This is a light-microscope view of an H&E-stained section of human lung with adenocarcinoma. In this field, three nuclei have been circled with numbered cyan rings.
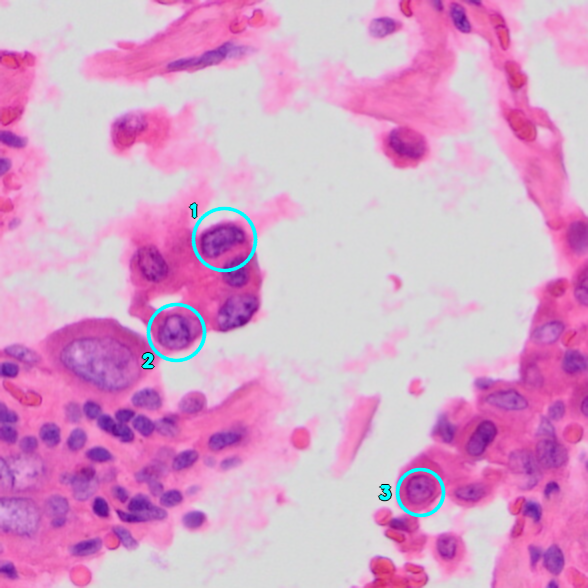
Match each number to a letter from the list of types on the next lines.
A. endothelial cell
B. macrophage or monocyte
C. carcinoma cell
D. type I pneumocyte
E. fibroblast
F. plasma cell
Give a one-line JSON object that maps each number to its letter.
{"1": "C", "2": "C", "3": "B"}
